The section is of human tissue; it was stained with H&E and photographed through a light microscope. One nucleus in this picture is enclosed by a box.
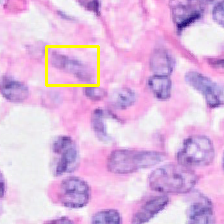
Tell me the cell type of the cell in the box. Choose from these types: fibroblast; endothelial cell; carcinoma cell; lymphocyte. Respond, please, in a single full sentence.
In the stained section, the cell in the box is an endothelial cell.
